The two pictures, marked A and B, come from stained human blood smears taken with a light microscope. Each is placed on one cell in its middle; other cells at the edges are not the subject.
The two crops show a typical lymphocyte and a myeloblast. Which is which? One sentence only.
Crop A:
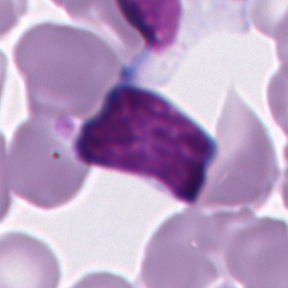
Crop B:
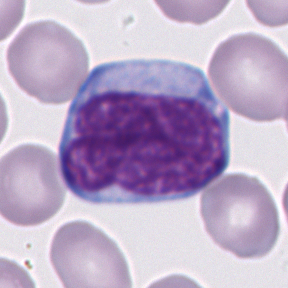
The cell that crop A centres on is a typical lymphocyte, and the cell that crop B centres on is a myeloblast.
